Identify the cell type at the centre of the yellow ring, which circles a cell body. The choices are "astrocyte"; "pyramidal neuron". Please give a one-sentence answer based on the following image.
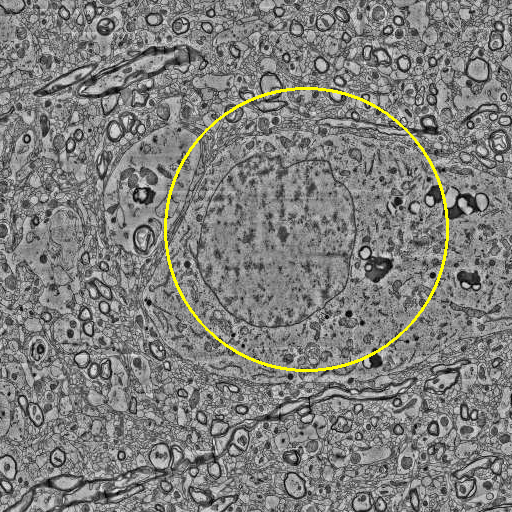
The cell marked by the ring is a pyramidal neuron.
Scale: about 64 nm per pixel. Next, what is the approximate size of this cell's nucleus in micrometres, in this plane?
About 11 micrometres across in this plane.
